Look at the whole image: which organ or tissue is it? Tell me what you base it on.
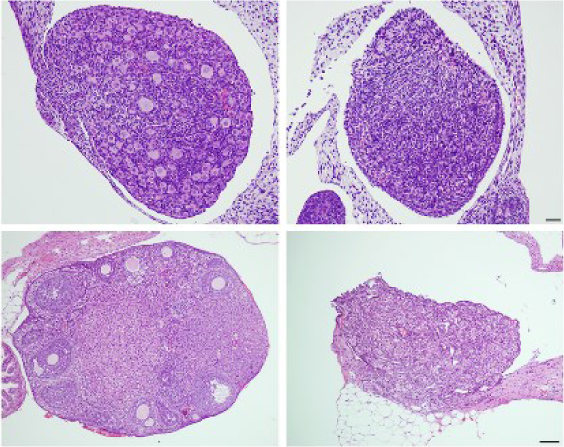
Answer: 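Oval organ sections with a dense cellular stroma. Round pale oocytes are scattered in the small sections of the top left image. The answer: ovaries.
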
